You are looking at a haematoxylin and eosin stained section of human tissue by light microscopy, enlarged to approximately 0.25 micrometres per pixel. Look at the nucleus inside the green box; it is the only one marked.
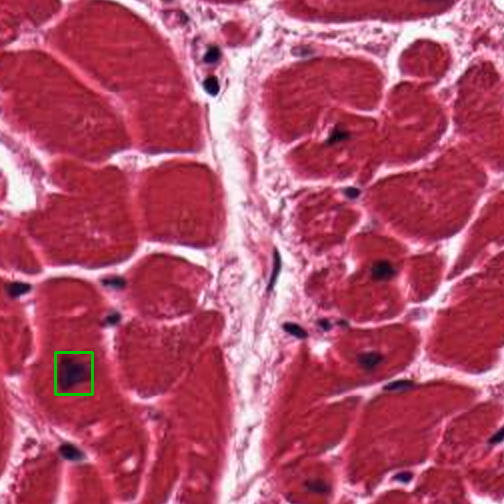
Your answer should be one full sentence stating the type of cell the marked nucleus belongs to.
Located in a cardiomyocyte is the marked nucleus.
